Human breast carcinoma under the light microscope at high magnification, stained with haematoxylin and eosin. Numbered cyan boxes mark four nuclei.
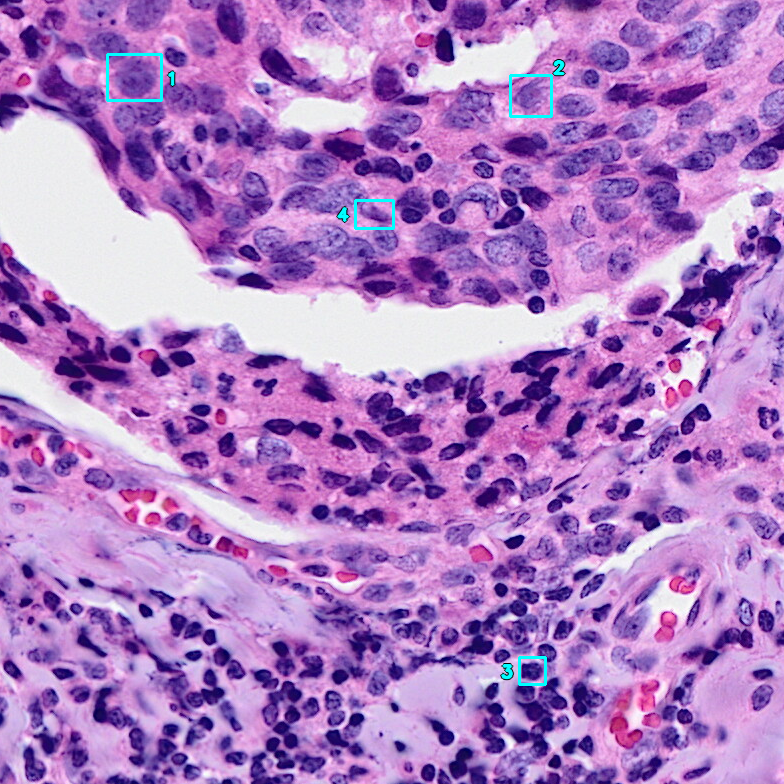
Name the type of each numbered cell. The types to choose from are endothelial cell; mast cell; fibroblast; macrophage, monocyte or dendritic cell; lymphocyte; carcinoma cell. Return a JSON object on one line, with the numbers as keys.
{"1": "carcinoma cell", "2": "carcinoma cell", "3": "lymphocyte", "4": "carcinoma cell"}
